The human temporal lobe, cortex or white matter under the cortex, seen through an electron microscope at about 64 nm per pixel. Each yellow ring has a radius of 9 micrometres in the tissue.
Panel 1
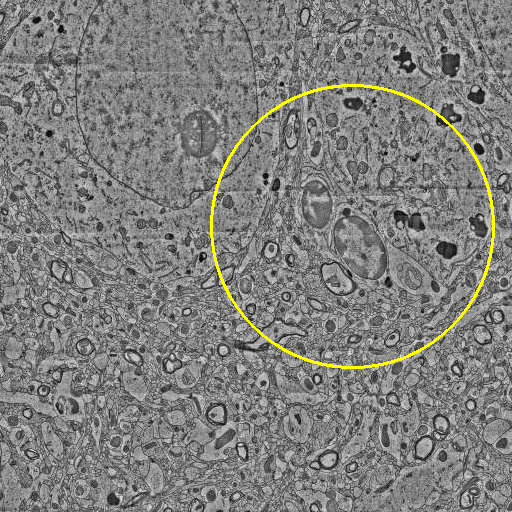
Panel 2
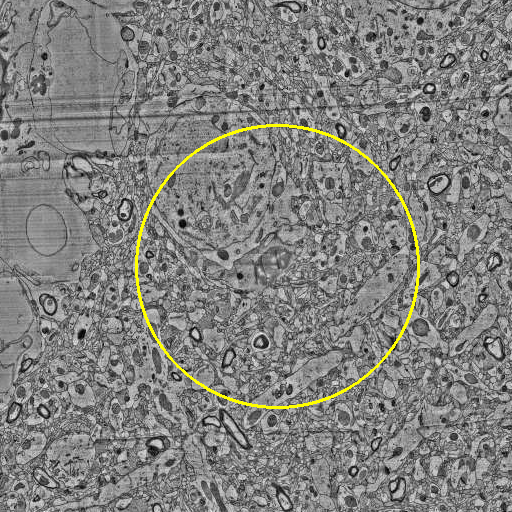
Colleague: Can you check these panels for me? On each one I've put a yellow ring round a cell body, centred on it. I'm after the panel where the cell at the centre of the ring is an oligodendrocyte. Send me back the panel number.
2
